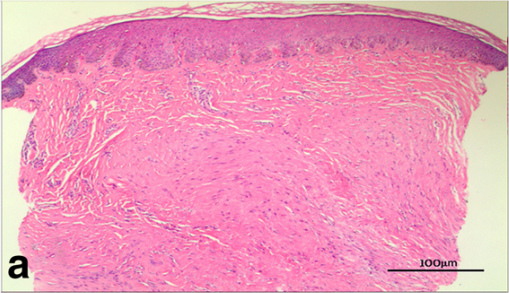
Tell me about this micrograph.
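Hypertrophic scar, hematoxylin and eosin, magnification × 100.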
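The epidermis is of fairly even width with a gently undulating lower border. Below it the dermis is compact and filled with collagen bundles running mostly in parallel and in broad sweeps. Numerous small, dark, elongated nuclei of fibroblasts lie scattered densely among the bundles. A few small clusters of nuclei and small vessels are seen in the upper dermis. No hair follicles or glands are present.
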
